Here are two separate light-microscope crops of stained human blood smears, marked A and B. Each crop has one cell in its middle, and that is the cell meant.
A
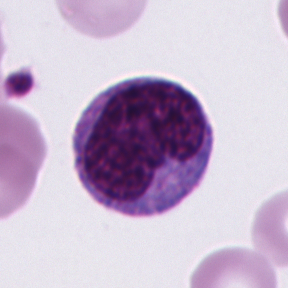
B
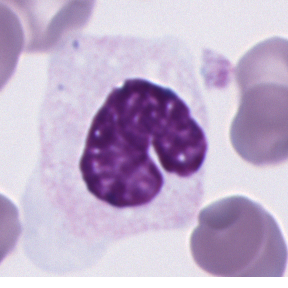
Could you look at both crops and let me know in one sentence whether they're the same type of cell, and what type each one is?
No, a monocyte and a band neutrophil are found in crop A and crop B, respectively.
